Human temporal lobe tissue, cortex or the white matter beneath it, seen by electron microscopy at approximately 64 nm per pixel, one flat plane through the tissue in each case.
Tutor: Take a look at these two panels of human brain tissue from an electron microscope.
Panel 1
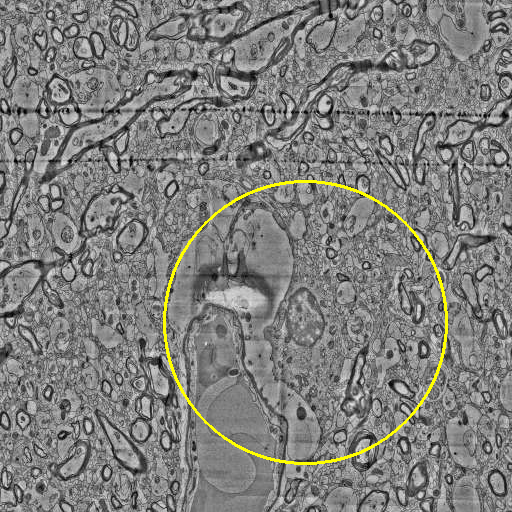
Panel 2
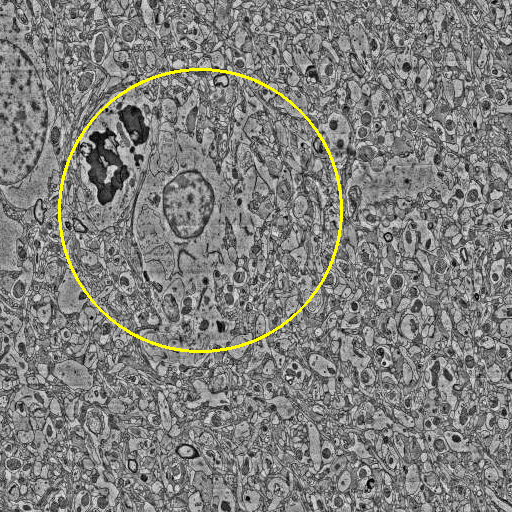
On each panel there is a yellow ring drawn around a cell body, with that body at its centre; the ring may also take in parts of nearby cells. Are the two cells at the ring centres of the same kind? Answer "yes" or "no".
no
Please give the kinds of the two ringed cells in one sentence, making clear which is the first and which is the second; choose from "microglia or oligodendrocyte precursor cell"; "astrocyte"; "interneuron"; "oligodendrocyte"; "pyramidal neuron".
In the second picture the ringed cell is an astrocyte; in the first it is an oligodendrocyte.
